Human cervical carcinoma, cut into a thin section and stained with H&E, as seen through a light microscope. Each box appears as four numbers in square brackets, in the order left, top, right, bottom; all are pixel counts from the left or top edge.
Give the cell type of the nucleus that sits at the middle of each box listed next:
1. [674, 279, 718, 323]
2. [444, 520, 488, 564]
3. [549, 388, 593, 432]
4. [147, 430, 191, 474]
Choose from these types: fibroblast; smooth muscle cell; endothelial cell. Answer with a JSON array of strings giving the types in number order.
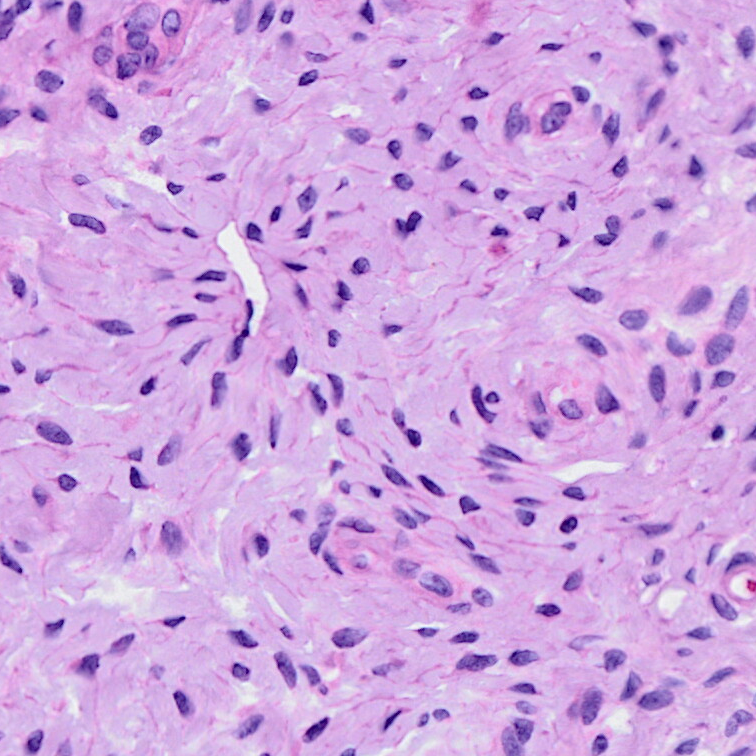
["fibroblast", "fibroblast", "endothelial cell", "fibroblast"]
